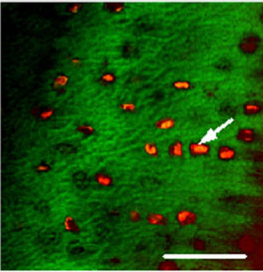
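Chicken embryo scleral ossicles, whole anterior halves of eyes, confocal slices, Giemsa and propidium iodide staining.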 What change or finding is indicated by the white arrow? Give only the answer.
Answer: An individual nucleus resides in each bone microporosity.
